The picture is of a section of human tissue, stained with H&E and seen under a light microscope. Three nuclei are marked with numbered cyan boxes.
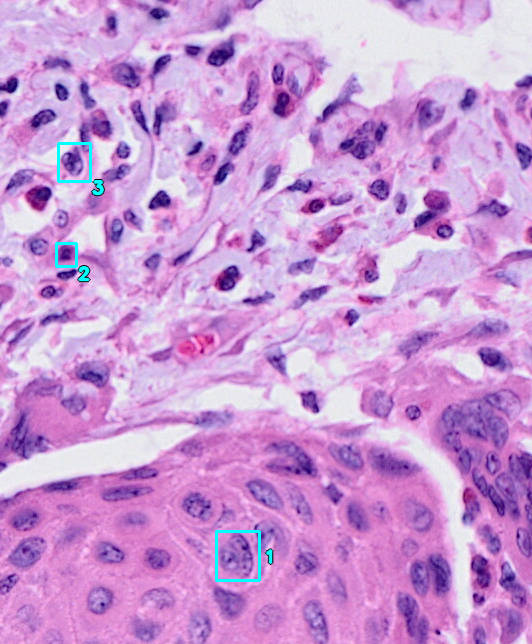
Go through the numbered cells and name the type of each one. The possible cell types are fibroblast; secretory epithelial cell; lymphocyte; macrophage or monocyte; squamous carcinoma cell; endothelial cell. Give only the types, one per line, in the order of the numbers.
squamous carcinoma cell
endothelial cell
lymphocyte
